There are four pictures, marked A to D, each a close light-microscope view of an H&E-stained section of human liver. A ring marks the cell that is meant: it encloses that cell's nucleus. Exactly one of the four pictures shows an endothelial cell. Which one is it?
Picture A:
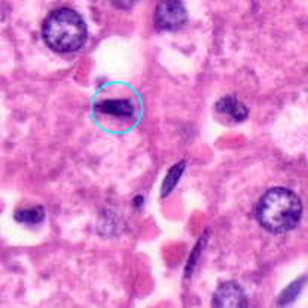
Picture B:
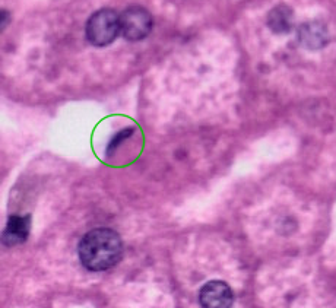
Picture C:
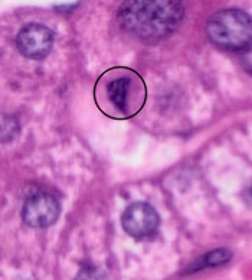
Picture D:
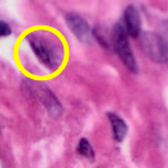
B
